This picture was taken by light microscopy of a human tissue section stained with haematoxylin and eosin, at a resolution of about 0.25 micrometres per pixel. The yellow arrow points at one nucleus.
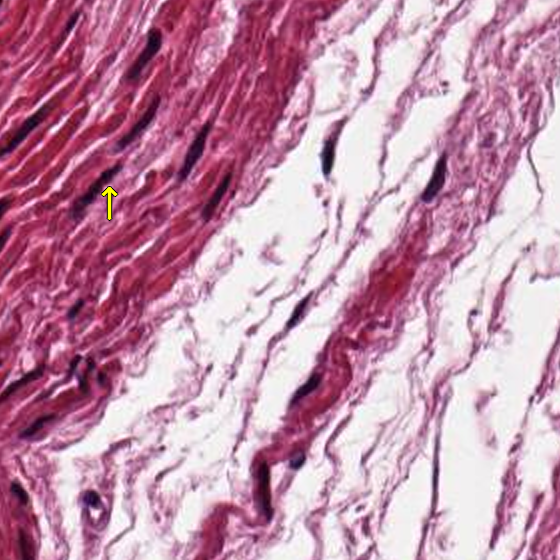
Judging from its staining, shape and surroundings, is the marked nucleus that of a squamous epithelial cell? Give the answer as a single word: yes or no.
no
